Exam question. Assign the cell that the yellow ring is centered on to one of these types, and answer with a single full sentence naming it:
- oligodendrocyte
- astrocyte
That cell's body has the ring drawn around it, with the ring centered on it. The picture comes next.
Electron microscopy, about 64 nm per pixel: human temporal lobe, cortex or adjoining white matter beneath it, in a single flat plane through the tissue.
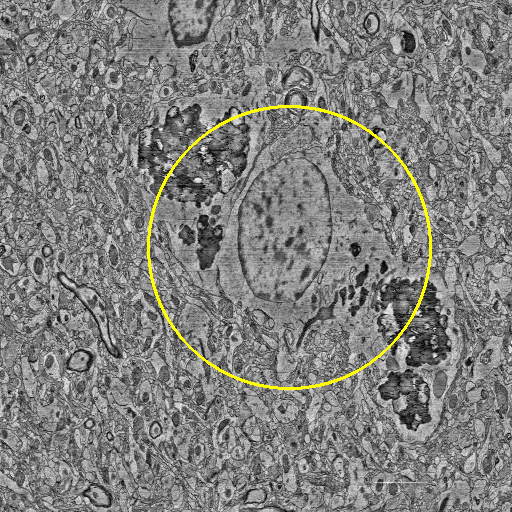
In the micrograph, the cell the yellow ring is centered on is an astrocyte.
